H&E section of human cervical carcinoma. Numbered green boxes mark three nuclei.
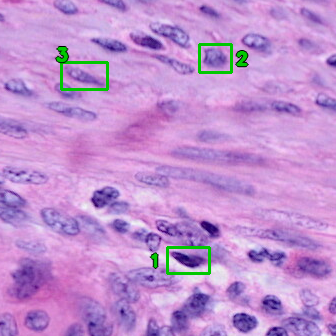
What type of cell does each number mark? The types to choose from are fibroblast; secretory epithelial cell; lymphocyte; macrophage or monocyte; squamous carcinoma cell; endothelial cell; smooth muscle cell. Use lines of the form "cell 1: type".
cell 1: lymphocyte
cell 2: smooth muscle cell
cell 3: smooth muscle cell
